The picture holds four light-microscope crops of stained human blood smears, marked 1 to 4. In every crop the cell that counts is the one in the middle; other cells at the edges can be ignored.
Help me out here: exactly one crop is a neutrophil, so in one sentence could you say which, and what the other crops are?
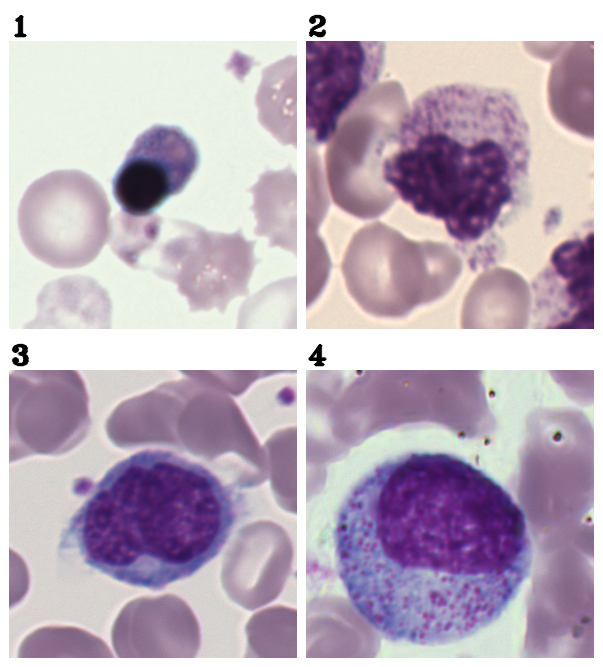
Crop 2 corresponds to a neutrophil, while crop 1 is an erythroblast, crop 3 is a monocyte and crop 4 is a promyelocyte.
